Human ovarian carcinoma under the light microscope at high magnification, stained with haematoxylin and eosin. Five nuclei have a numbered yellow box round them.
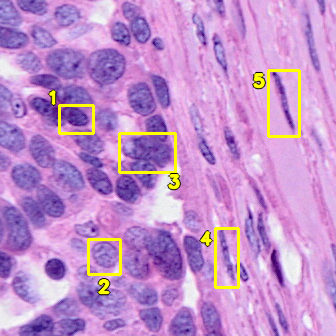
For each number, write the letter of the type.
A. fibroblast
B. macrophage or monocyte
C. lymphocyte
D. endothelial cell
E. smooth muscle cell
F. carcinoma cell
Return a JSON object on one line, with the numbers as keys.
{"1": "F", "2": "F", "3": "F", "4": "A", "5": "A"}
